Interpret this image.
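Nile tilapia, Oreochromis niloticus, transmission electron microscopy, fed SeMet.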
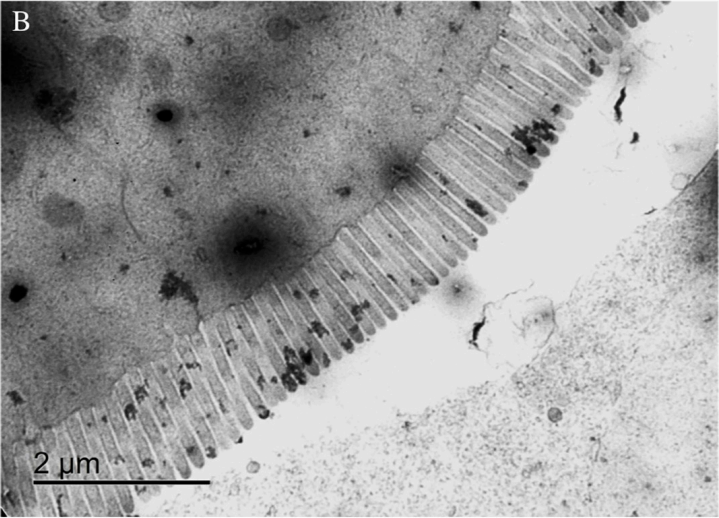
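A long row of slender, parallel microvilli borders the apical surface of an absorptive cell and projects into a pale lumen. The microvilli are regularly spaced and of similar length. Small dark irregular deposits lie among them. The cytoplasm beneath looks fairly uniform, with a few faint rounded profiles and scattered dark spots. Across the clear lumen lies more finely granular material.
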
